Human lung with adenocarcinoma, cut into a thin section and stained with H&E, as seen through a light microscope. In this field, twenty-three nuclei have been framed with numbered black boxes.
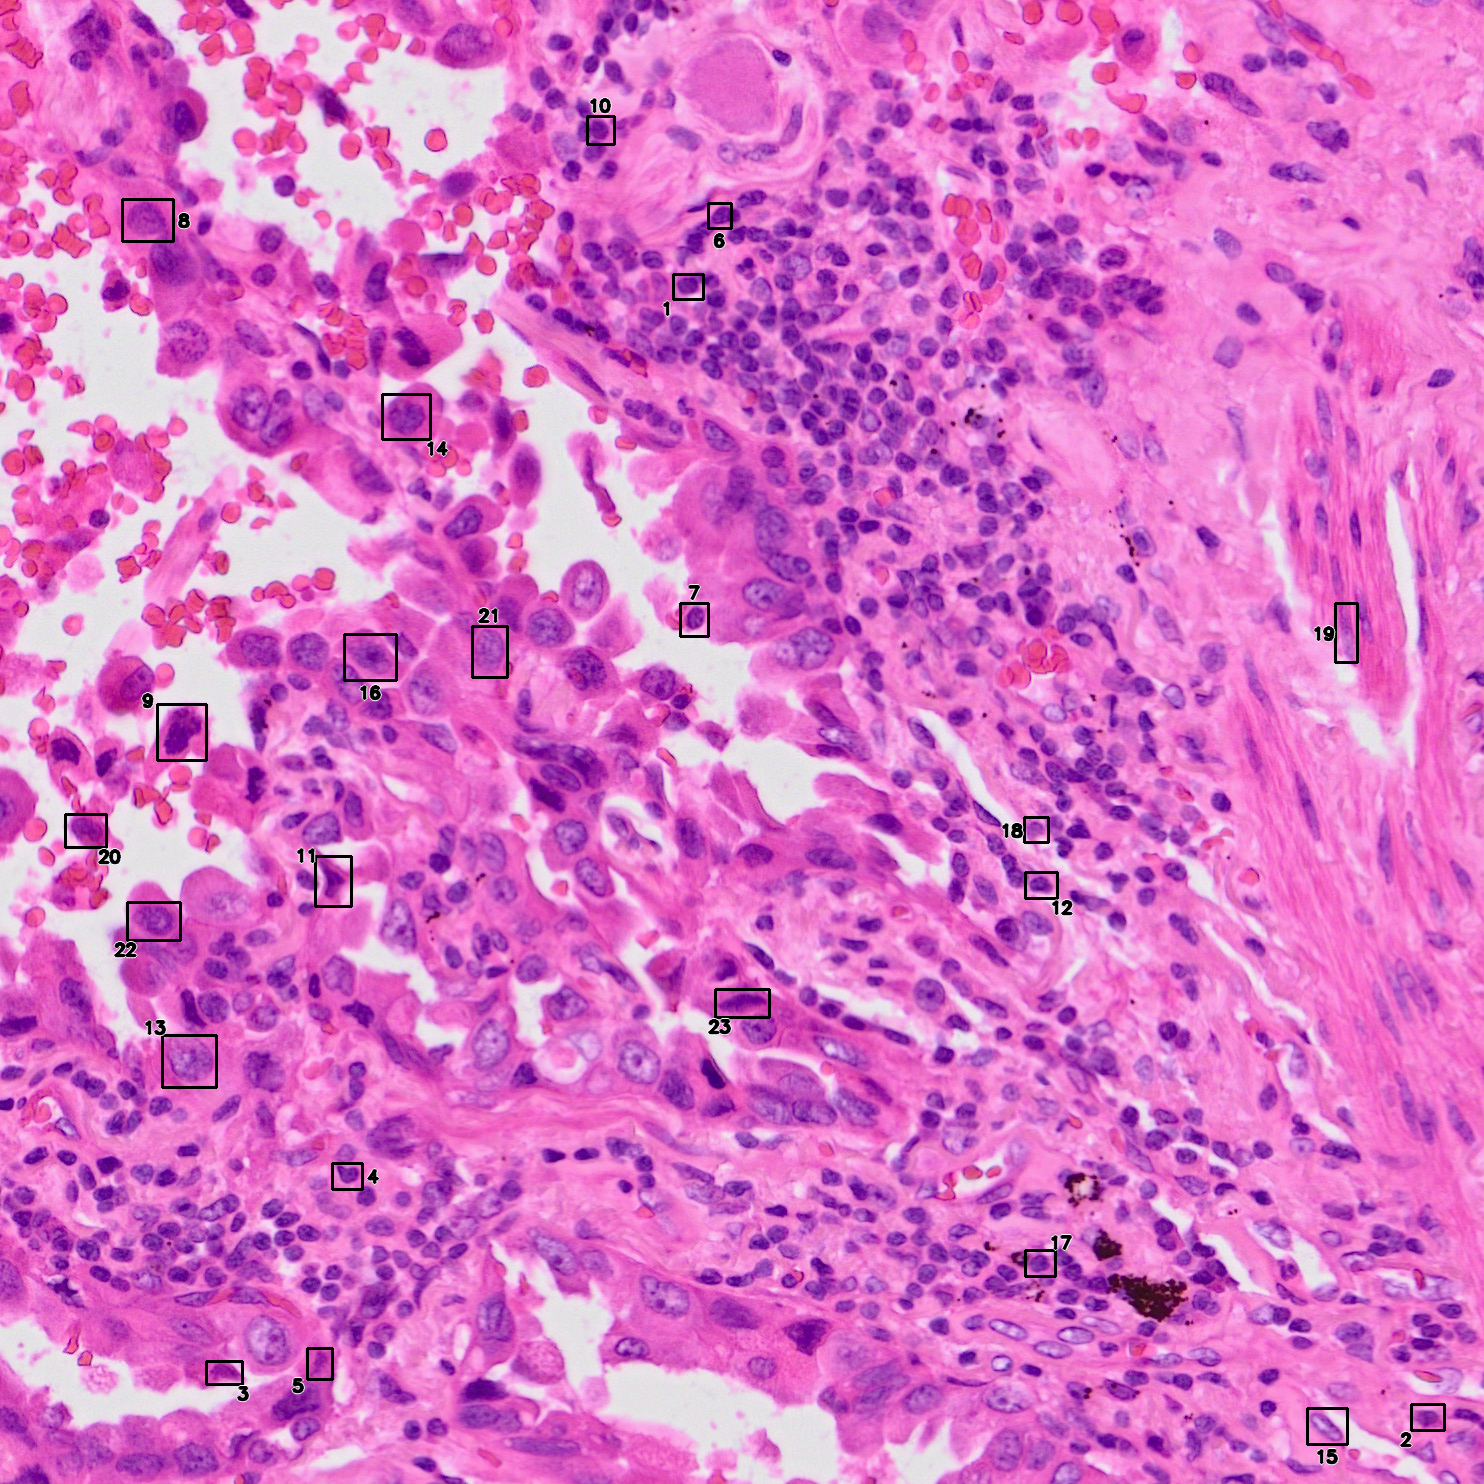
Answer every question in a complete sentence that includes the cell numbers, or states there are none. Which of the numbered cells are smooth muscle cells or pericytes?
Cell 19 is a smooth muscle cell or pericyte, and that holds for no other numbered cell.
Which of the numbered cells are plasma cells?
Cell 2 is the single numbered cell that is a plasma cell.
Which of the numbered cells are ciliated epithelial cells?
No ciliated epithelial cells are present among the numbered cells.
